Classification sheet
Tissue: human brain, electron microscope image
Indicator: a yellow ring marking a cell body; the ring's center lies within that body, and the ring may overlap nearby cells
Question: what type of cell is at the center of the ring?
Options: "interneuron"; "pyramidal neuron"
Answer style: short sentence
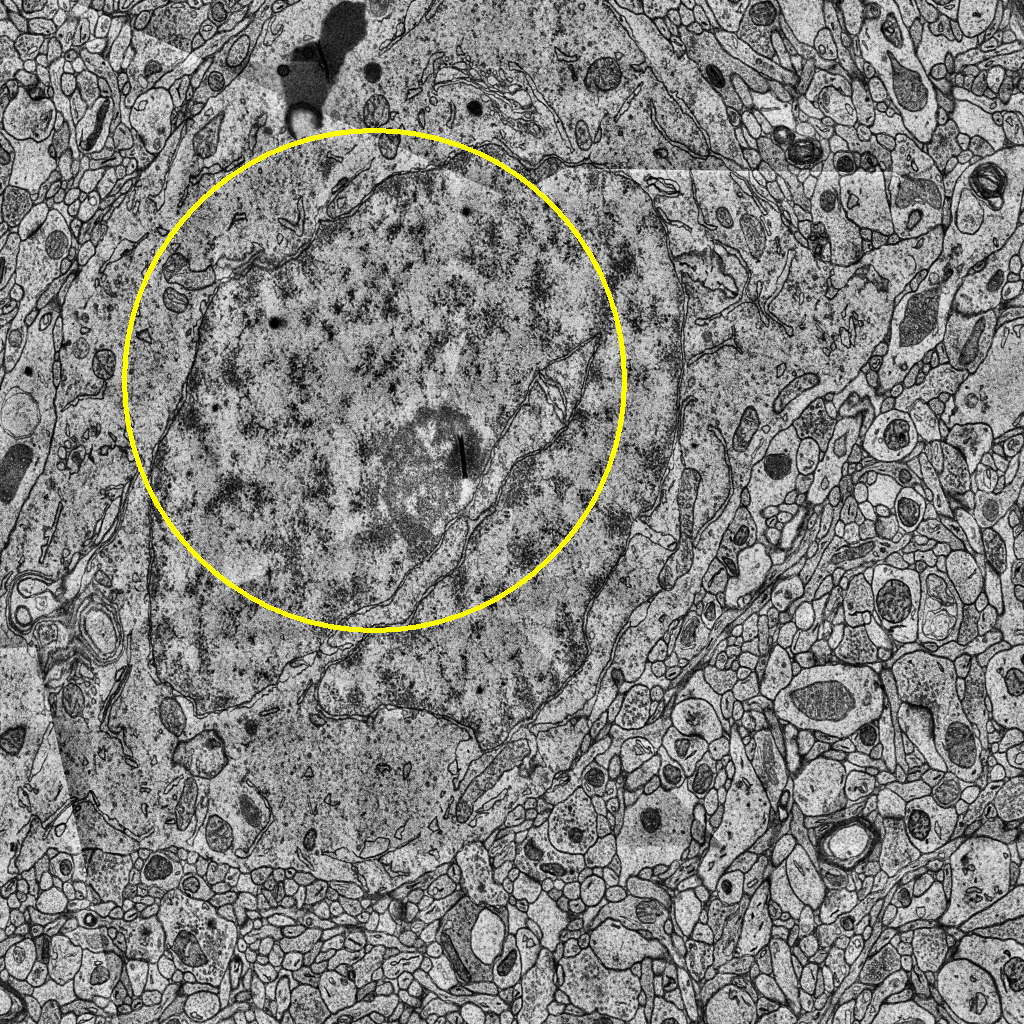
At the ring's center is an interneuron.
